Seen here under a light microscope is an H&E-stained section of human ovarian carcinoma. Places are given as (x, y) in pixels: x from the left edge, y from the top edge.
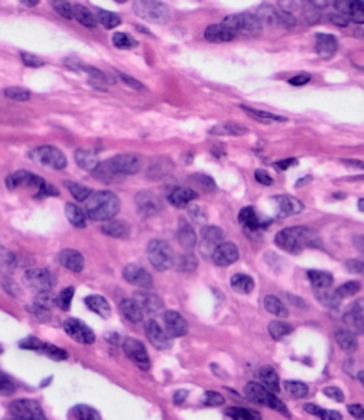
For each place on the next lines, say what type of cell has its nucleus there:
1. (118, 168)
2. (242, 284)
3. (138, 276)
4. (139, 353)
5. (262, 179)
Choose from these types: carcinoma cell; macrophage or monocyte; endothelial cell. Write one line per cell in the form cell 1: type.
cell 1: carcinoma cell
cell 2: macrophage or monocyte
cell 3: carcinoma cell
cell 4: carcinoma cell
cell 5: macrophage or monocyte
